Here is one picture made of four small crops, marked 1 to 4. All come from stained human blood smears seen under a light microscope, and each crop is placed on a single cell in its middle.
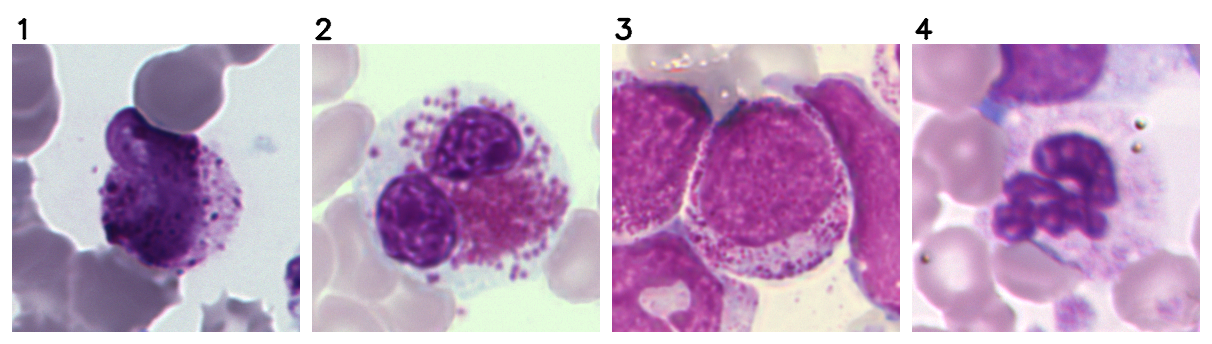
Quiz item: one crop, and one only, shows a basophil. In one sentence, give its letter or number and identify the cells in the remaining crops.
Crop 1 is best given as a basophil, while crop 2 is an eosinophil, crop 3 is a myelocyte and crop 4 is a segmented neutrophil.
